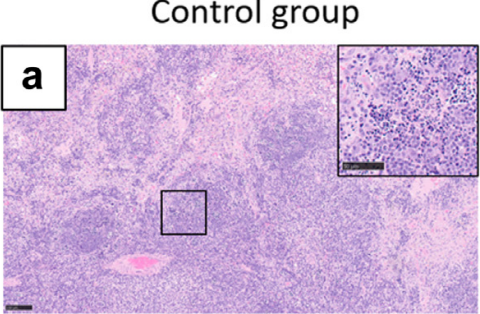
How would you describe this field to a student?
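This is spleen showing lymphocytolysis in the white pulp. The white pulp forms darker purple nodules of lymphocytes set within paler, more pink red pulp, with a blood vessel containing pink material below. In the magnified inset, many lymphocytes are reduced to small, dense, dark nuclear fragments, consistent with apoptosis. The red pulp appears more cellular and mixed than usual.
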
